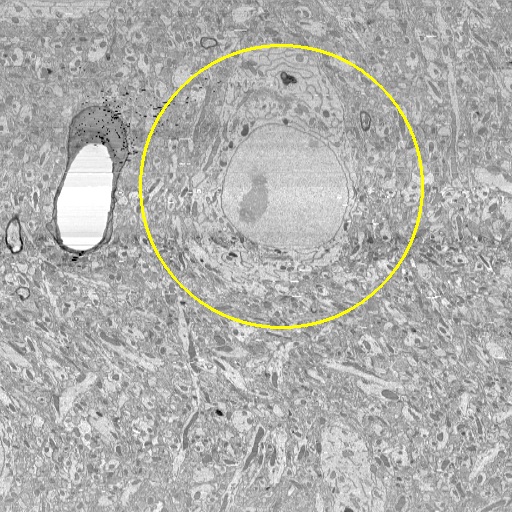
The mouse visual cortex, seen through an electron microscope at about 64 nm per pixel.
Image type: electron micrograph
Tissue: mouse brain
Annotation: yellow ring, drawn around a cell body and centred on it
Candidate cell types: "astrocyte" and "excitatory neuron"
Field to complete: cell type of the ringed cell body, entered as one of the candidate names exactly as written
excitatory neuron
